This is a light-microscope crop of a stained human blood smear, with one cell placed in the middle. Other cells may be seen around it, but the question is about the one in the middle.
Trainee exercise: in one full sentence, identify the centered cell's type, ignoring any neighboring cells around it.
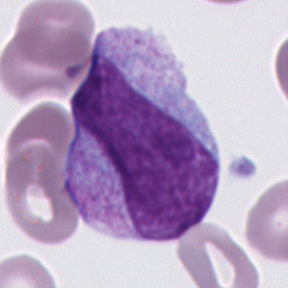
On this slide crop, the central cell is an atypical promyelocyte.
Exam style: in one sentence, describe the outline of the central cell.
This cell has an uneven outline, either ragged or bearing projections.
